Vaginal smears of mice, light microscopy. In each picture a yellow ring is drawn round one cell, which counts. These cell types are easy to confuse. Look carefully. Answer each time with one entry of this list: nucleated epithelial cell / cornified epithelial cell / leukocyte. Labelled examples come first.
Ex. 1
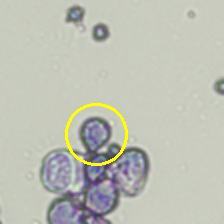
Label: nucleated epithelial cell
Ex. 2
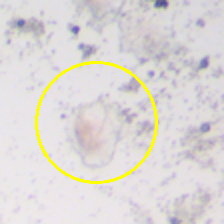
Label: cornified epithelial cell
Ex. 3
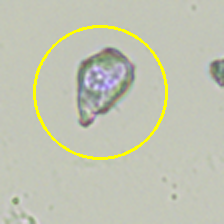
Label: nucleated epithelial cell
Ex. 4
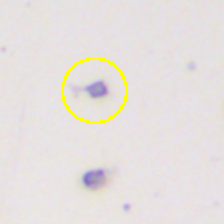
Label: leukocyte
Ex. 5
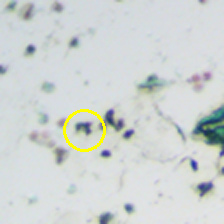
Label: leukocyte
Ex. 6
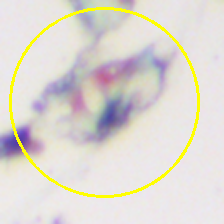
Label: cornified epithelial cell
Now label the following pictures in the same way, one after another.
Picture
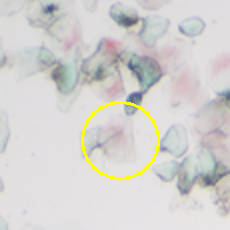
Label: cornified epithelial cell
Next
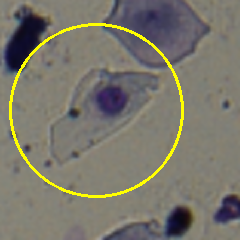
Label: nucleated epithelial cell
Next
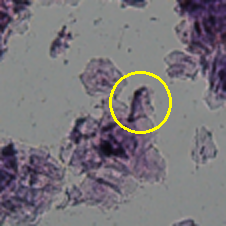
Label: cornified epithelial cell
